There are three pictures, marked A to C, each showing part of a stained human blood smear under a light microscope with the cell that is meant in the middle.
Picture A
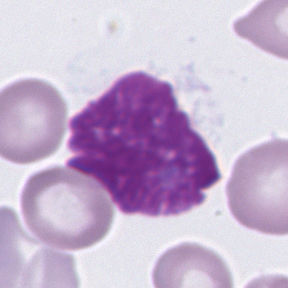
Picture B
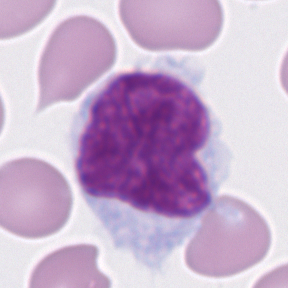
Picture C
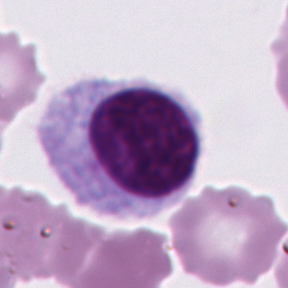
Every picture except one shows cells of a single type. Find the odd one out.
A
